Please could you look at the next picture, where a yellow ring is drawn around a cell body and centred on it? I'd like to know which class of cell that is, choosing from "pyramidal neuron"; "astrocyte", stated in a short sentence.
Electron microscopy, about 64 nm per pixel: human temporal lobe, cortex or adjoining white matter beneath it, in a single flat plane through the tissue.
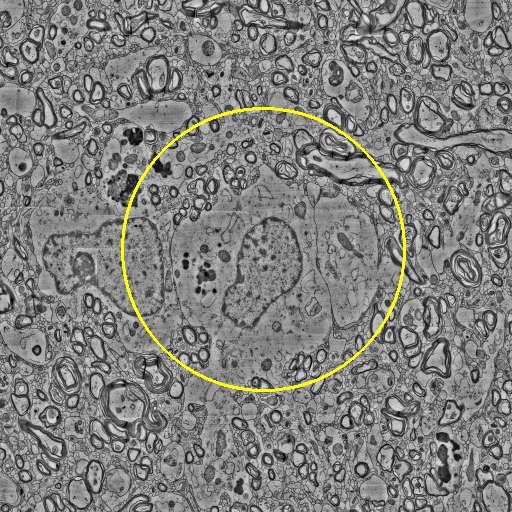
The ring's centre lies on an astrocyte.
